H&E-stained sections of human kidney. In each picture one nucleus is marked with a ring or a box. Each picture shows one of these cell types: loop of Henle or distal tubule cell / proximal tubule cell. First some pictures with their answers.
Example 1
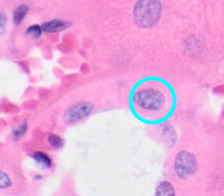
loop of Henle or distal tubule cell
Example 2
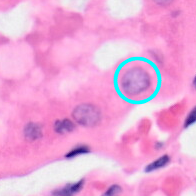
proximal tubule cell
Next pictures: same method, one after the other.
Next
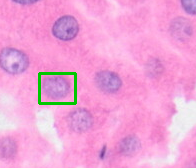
proximal tubule cell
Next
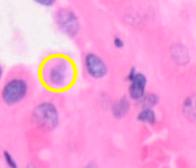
loop of Henle or distal tubule cell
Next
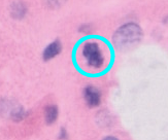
loop of Henle or distal tubule cell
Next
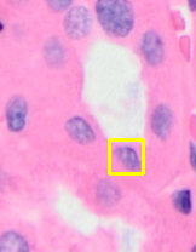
loop of Henle or distal tubule cell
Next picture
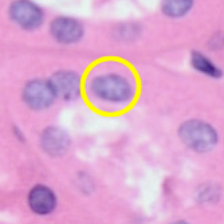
loop of Henle or distal tubule cell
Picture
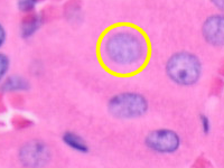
proximal tubule cell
